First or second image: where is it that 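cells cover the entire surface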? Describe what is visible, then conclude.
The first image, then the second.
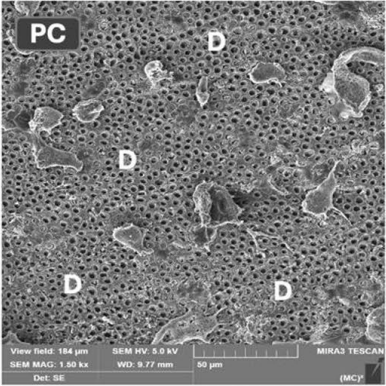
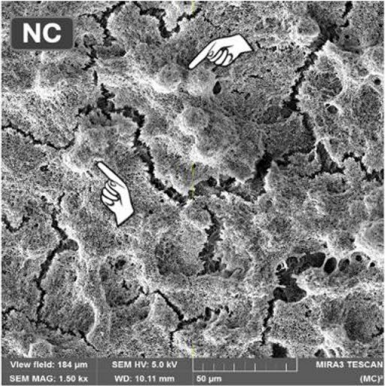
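First image: a bare surface full of round tubule openings with only a few scattered cell remnants. Second image: a continuous sheet of flattened cells with many projections hides the substrate.
Hence: the second image.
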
